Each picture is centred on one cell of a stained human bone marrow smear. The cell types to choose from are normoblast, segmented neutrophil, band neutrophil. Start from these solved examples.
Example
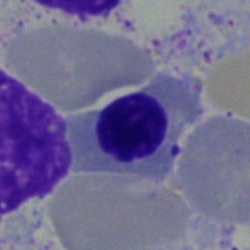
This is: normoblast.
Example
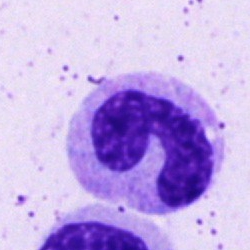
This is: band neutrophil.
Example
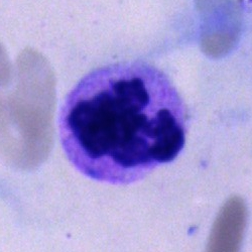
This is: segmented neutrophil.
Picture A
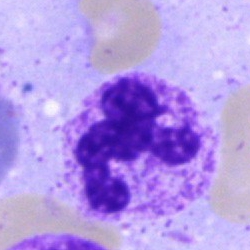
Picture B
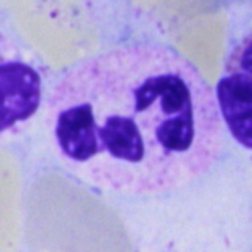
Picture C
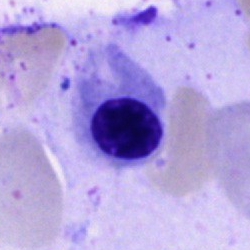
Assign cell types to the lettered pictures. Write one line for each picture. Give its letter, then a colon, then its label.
A: segmented neutrophil.
B: segmented neutrophil.
C: normoblast.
